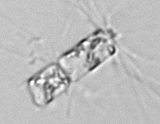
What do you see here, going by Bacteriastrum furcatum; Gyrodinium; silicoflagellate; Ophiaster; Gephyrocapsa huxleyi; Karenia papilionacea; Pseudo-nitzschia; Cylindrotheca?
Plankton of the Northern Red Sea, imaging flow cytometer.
I see Bacteriastrum furcatum.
